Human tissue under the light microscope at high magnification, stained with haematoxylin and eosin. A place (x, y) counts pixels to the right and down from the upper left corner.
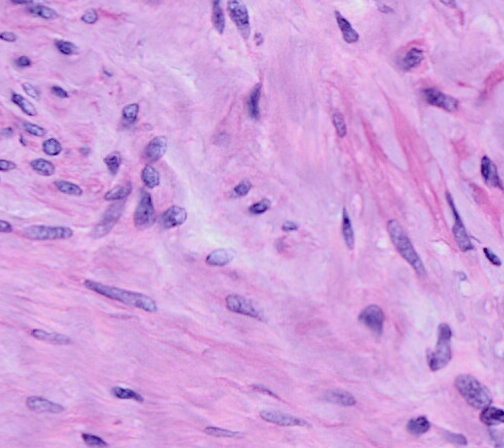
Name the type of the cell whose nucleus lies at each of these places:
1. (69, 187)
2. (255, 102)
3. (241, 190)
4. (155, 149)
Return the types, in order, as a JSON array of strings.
["smooth muscle cell", "fibroblast", "smooth muscle cell", "smooth muscle cell"]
